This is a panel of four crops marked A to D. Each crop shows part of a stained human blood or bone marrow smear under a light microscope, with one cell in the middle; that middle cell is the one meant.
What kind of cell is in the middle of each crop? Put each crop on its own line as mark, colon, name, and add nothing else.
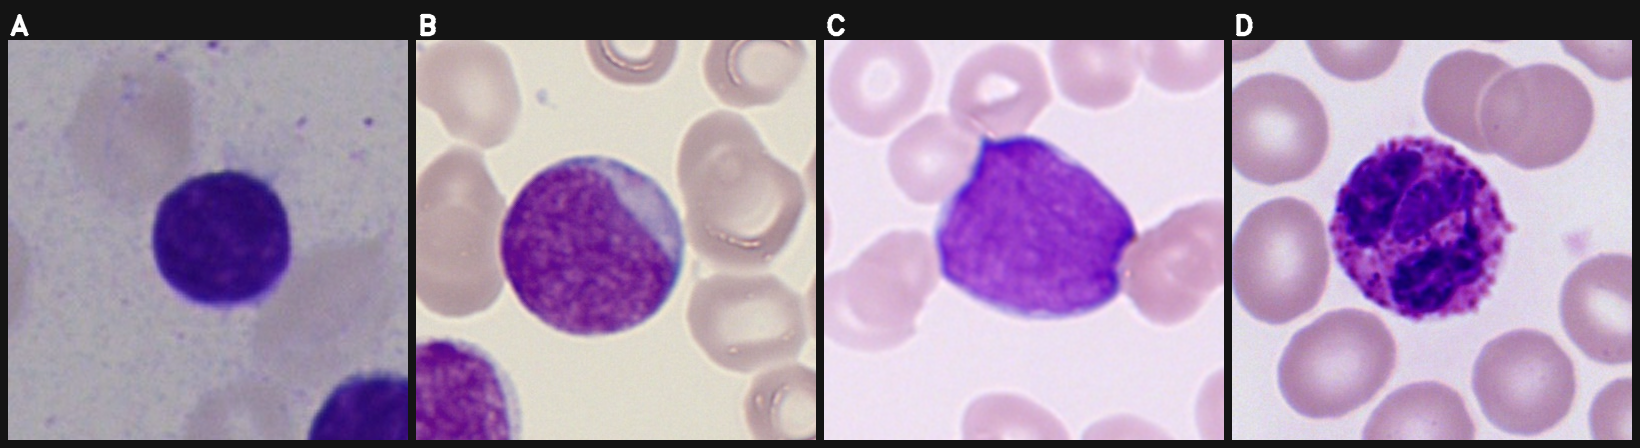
A: lymphocyte
B: blast
C: blast
D: basophil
